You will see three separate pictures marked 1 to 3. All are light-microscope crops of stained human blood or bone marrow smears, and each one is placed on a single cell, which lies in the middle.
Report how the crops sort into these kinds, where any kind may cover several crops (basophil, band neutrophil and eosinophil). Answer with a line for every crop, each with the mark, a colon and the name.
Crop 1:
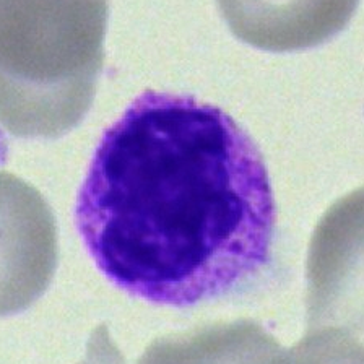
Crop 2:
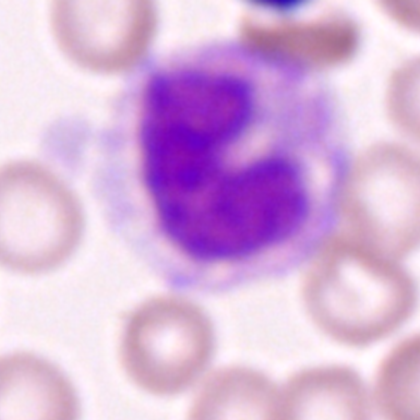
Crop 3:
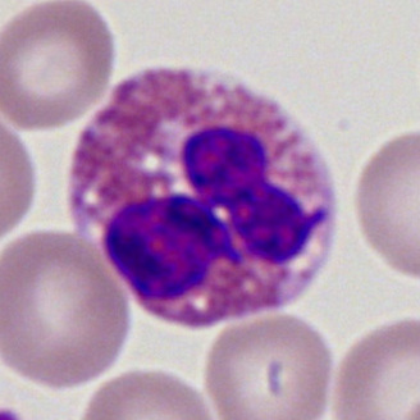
1: basophil
2: band neutrophil
3: eosinophil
